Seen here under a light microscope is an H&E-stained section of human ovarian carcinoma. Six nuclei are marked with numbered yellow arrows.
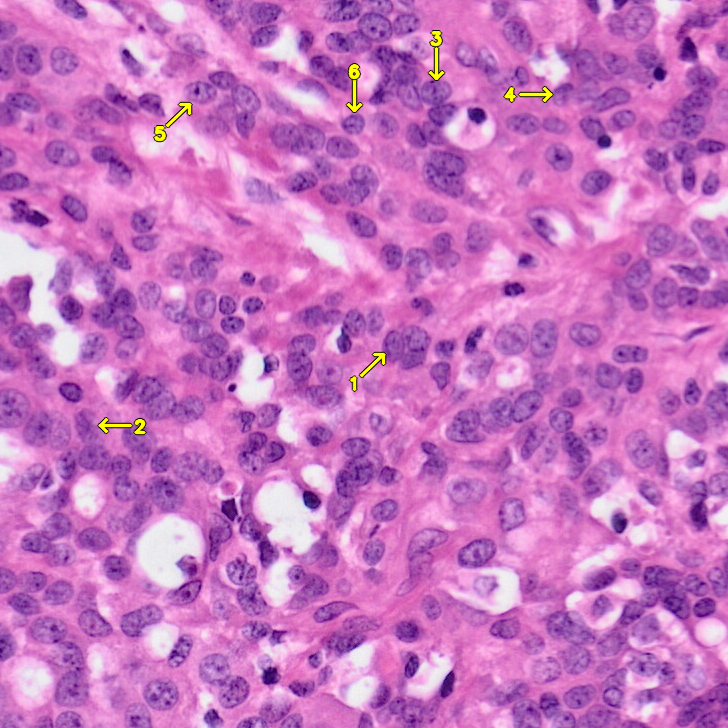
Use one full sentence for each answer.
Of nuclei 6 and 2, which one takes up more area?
Nucleus 2 is the larger one, covering about 1.5 times the area of nucleus 6.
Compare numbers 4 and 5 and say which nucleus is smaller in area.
Number 4 is smaller, since number 5 takes up about 1.5 times as much area.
